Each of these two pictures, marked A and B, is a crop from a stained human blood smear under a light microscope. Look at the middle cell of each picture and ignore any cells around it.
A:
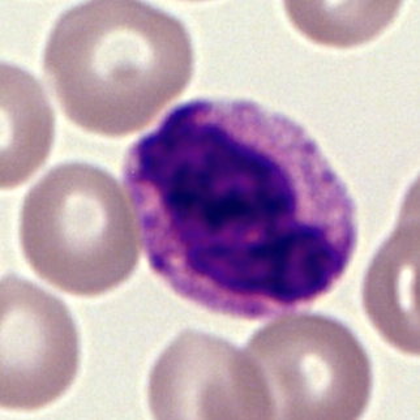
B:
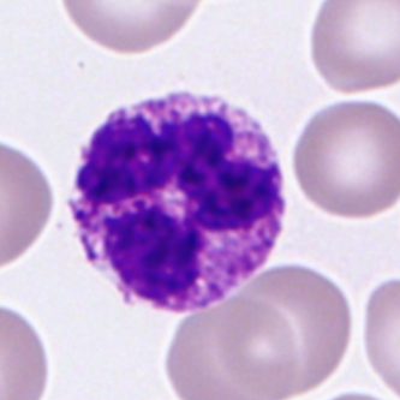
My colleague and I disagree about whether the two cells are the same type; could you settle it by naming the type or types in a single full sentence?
Yes, both crops depict basophils at the centre.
